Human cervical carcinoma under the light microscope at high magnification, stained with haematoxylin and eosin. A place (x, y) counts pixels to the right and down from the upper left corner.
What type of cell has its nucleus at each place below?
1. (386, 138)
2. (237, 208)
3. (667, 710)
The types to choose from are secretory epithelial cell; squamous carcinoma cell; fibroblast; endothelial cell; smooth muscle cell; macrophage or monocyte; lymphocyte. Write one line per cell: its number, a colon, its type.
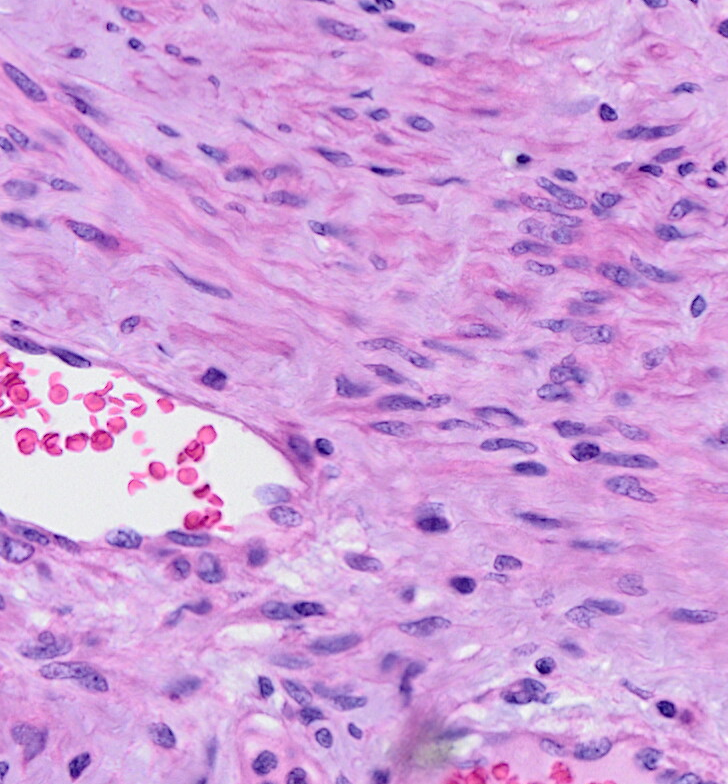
1: smooth muscle cell
2: smooth muscle cell
3: lymphocyte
